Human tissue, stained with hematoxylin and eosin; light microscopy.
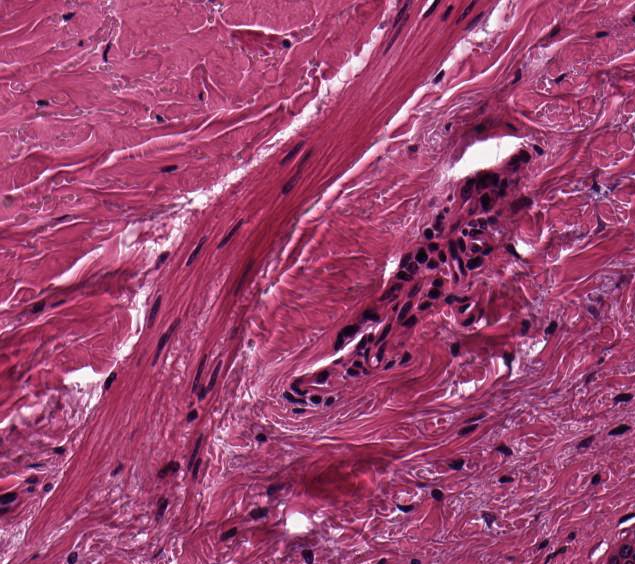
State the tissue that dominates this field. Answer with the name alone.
dermis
